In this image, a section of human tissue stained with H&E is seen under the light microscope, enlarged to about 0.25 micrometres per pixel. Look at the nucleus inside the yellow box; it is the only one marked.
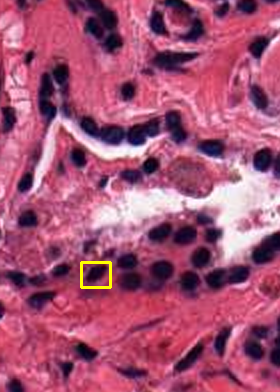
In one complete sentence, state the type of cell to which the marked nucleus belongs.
Singled out by the mark is the nucleus of a thyroid follicular cell.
